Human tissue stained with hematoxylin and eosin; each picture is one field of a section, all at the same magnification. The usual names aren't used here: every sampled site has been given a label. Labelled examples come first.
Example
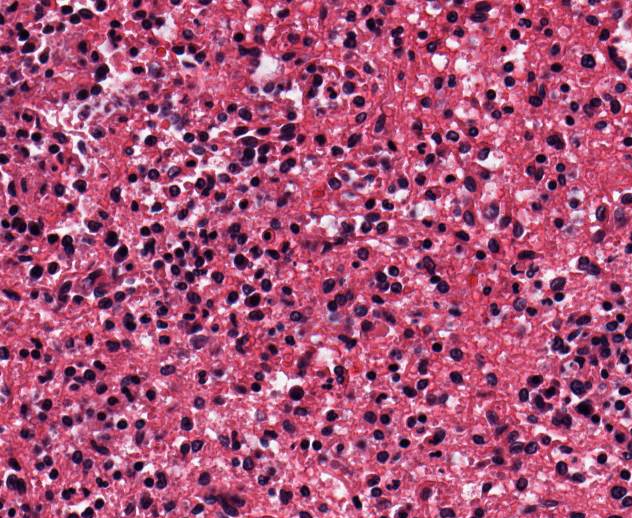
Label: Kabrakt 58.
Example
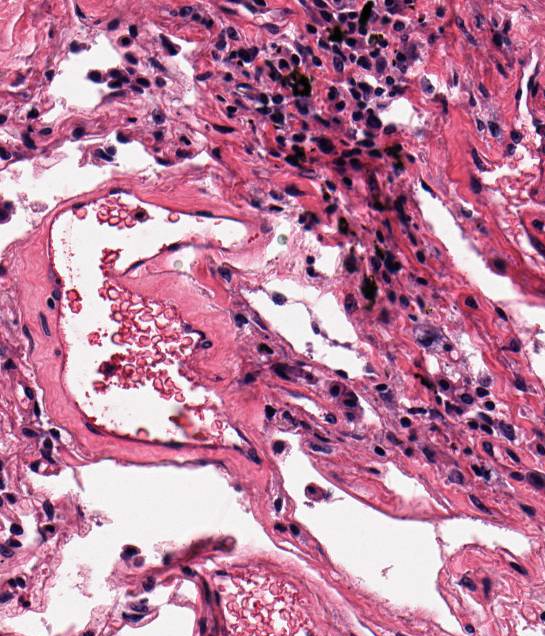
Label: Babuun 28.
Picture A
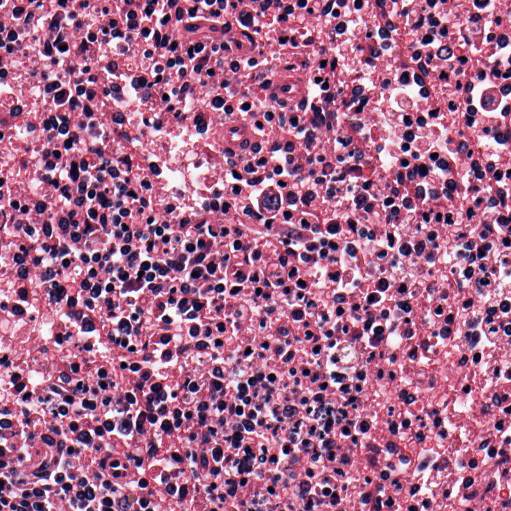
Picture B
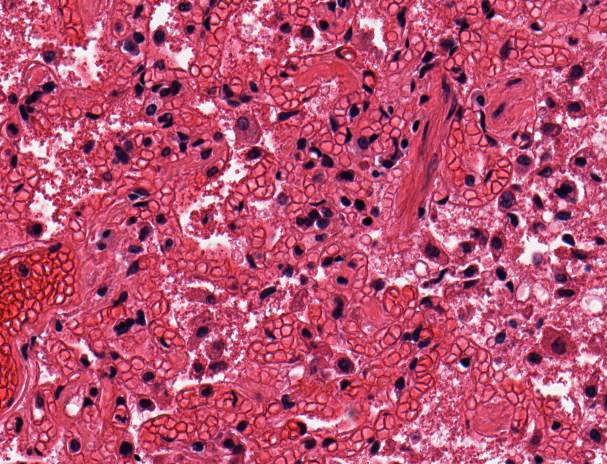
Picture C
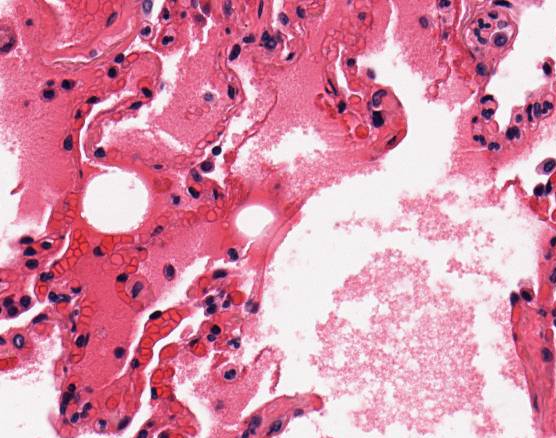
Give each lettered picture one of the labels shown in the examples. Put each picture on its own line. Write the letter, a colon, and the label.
A: Kabrakt 58.
B: Babuun 28.
C: Babuun 28.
